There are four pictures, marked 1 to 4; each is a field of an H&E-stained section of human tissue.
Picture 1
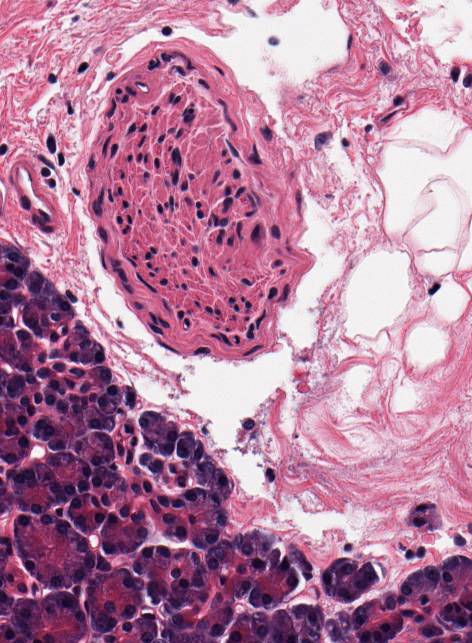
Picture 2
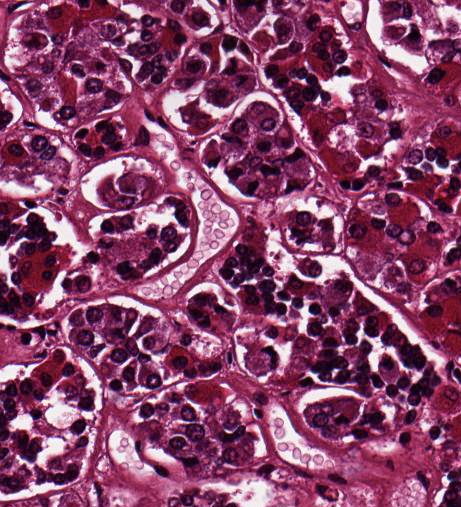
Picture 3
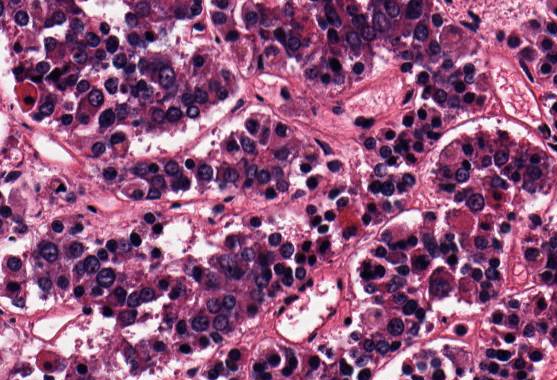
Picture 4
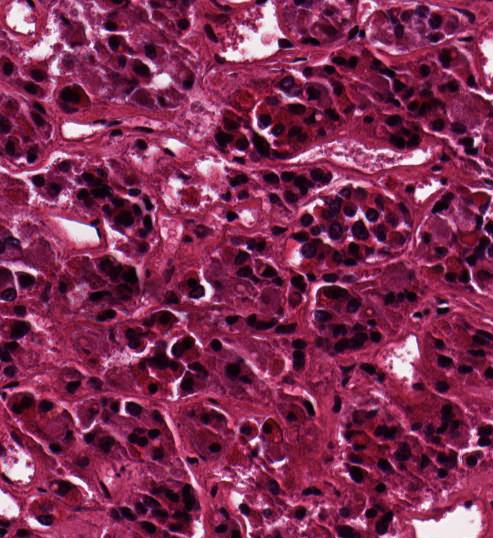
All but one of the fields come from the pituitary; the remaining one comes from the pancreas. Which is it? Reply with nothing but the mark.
1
